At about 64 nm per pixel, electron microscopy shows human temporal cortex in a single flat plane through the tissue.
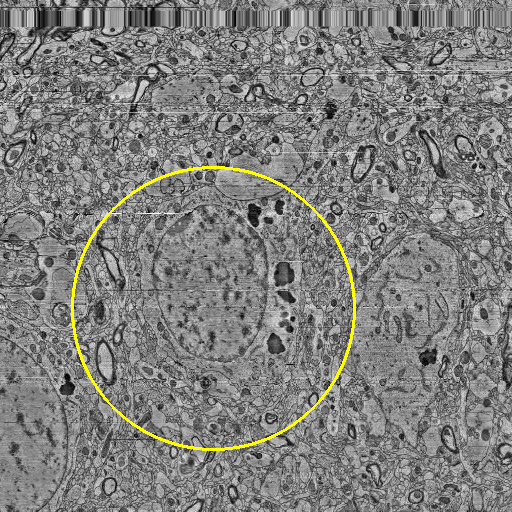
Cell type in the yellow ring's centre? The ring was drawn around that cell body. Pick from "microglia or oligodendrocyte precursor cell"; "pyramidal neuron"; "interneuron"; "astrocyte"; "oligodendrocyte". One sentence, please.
The ringed cell body is that of an interneuron.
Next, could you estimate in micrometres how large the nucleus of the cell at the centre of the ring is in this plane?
The nucleus has a long axis of about 10 micrometres and a short axis of about 7 micrometres in this plane.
